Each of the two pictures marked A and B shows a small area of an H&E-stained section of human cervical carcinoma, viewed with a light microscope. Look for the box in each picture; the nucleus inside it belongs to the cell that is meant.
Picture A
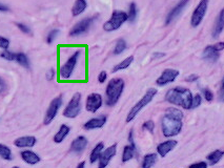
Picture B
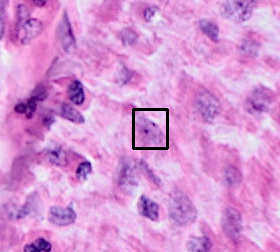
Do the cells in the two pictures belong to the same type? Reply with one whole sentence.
Yes, the two pictures both show fibroblasts.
